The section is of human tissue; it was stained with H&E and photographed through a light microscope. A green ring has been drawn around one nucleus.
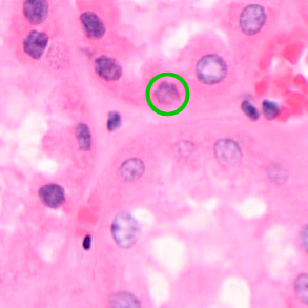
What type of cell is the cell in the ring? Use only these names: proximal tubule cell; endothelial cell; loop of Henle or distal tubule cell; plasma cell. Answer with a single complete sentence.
To be brief about it, the cell in the ring is a proximal tubule cell.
